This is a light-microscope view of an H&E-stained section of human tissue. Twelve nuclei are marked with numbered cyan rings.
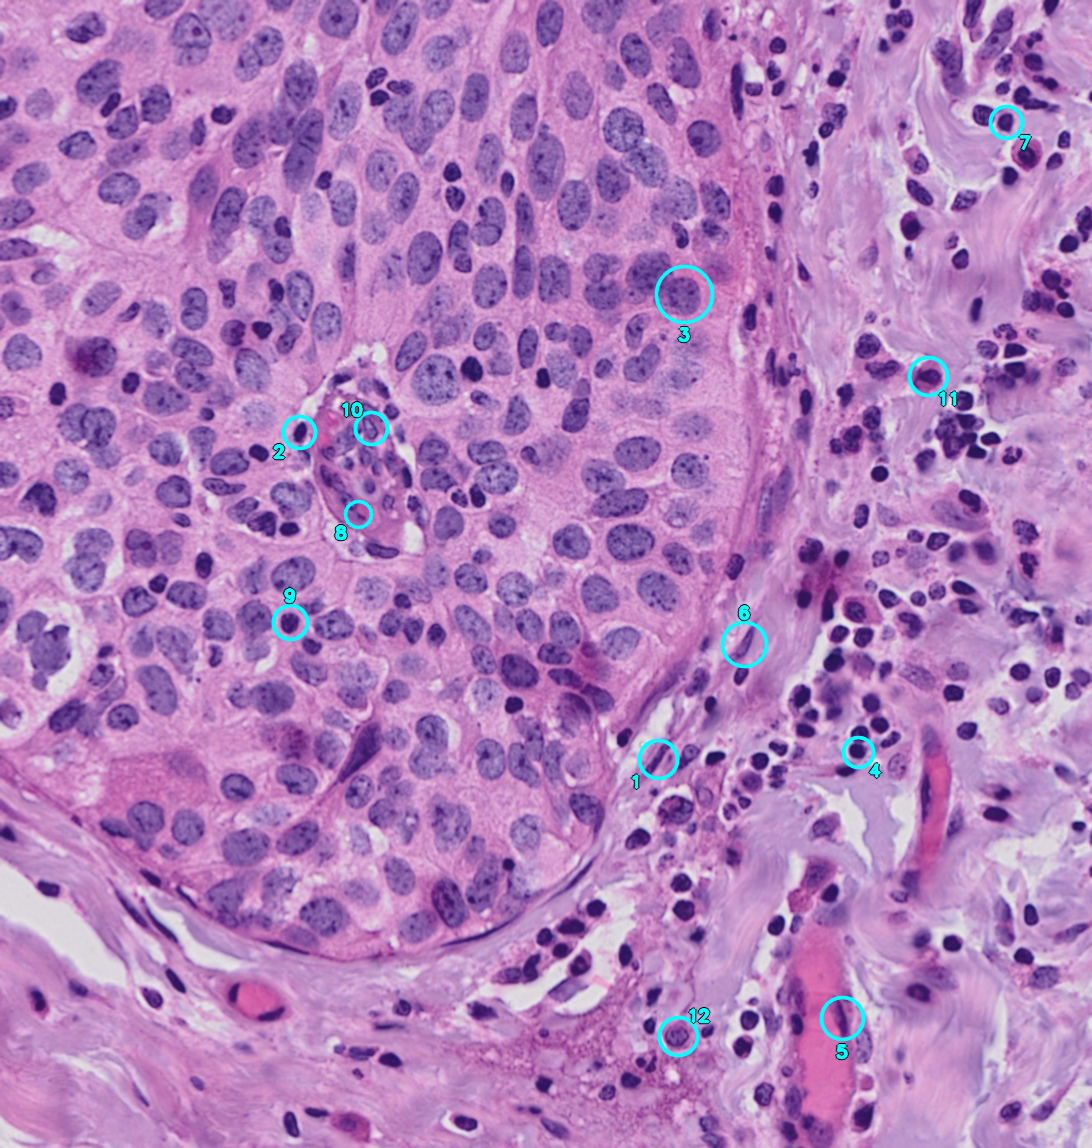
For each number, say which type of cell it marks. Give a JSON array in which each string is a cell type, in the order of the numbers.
["fibroblast", "lymphocyte", "carcinoma cell", "lymphocyte", "endothelial cell", "fibroblast", "lymphocyte", "endothelial cell", "lymphocyte", "endothelial cell", "mast cell", "mast cell"]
